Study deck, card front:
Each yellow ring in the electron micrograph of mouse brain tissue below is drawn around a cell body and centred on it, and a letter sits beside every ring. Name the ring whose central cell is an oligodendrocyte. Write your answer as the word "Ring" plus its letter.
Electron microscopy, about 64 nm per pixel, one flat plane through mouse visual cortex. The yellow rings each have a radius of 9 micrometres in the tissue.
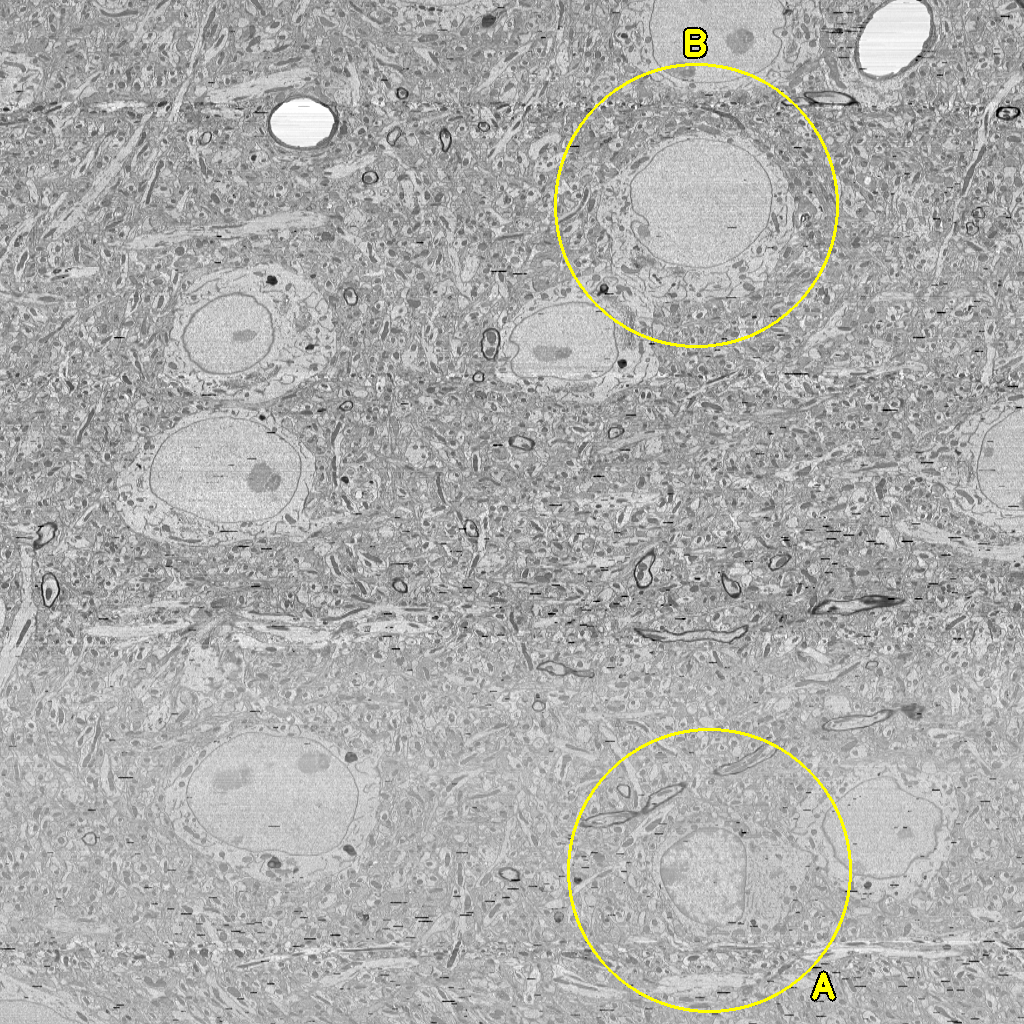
Ring A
